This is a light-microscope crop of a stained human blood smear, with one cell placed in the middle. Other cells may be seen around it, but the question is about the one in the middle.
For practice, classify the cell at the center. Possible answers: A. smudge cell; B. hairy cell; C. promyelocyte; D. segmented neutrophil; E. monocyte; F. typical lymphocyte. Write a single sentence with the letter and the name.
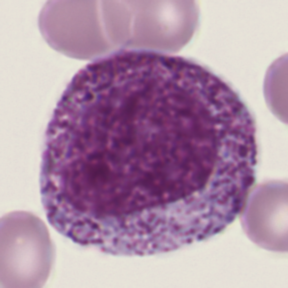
The one to choose is option C, as the cell in the middle is a promyelocyte.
